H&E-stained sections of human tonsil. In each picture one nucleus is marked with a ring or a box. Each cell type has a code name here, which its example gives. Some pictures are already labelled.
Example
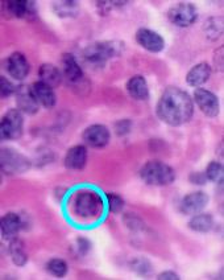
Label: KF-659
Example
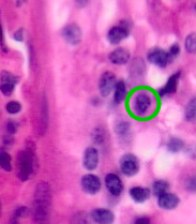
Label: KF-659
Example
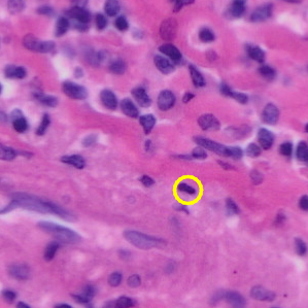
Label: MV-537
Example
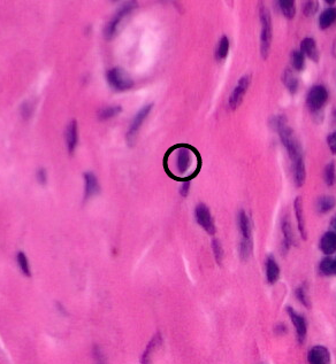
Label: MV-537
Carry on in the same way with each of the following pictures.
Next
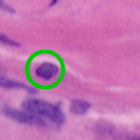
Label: MV-537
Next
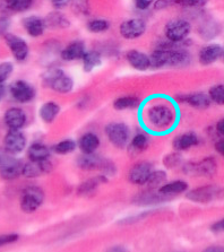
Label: KF-659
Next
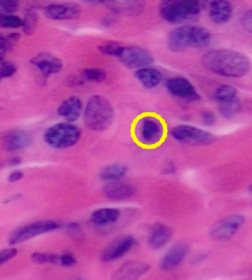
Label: MV-537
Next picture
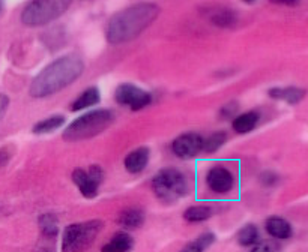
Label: KF-659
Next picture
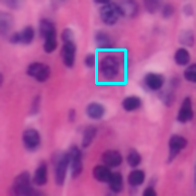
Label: KF-659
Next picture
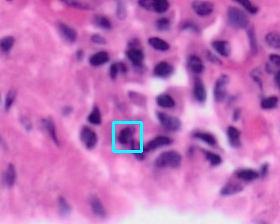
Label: KF-659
